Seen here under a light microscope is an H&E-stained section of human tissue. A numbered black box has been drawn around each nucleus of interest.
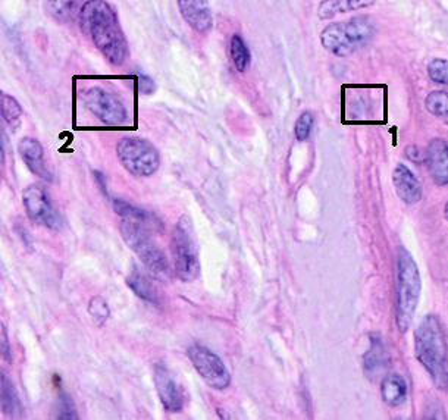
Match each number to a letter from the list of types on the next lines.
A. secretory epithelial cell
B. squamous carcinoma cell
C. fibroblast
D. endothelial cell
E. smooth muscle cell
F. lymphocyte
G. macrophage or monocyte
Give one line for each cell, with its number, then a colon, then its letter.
1: E
2: D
